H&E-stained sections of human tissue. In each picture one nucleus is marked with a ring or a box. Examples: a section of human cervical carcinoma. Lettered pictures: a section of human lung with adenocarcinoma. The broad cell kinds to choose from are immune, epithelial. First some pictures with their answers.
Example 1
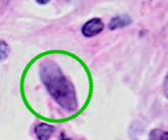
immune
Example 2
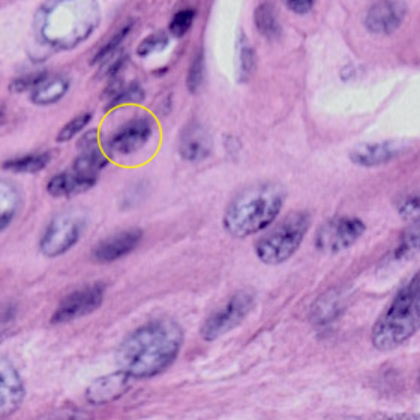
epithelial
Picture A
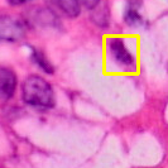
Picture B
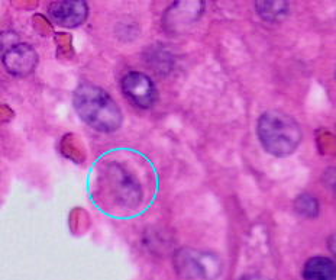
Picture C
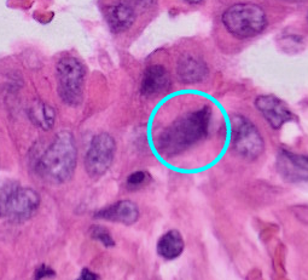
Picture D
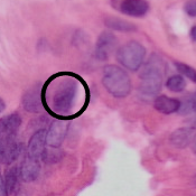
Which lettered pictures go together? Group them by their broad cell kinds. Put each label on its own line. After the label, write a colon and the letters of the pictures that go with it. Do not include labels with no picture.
immune: B
epithelial: A, C, D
